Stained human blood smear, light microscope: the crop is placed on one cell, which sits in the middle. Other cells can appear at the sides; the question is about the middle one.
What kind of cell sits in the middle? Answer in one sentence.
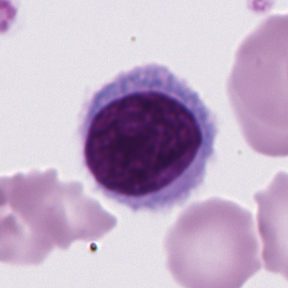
The cell in the middle of the field of view is a hairy cell.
